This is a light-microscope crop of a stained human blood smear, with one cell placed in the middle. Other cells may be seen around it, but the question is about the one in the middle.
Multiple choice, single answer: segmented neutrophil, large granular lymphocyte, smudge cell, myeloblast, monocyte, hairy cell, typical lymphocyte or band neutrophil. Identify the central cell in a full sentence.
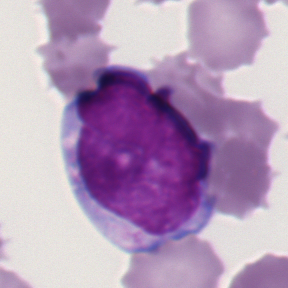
The cell of interest, in the center, is a myeloblast.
